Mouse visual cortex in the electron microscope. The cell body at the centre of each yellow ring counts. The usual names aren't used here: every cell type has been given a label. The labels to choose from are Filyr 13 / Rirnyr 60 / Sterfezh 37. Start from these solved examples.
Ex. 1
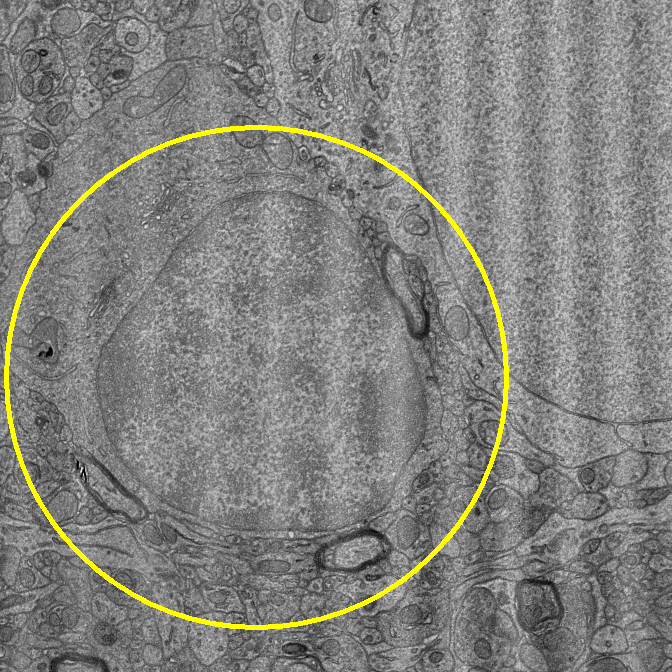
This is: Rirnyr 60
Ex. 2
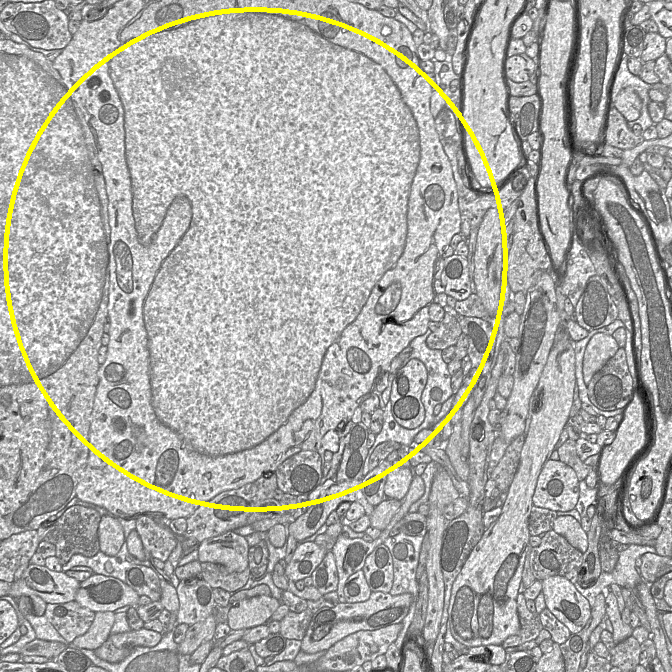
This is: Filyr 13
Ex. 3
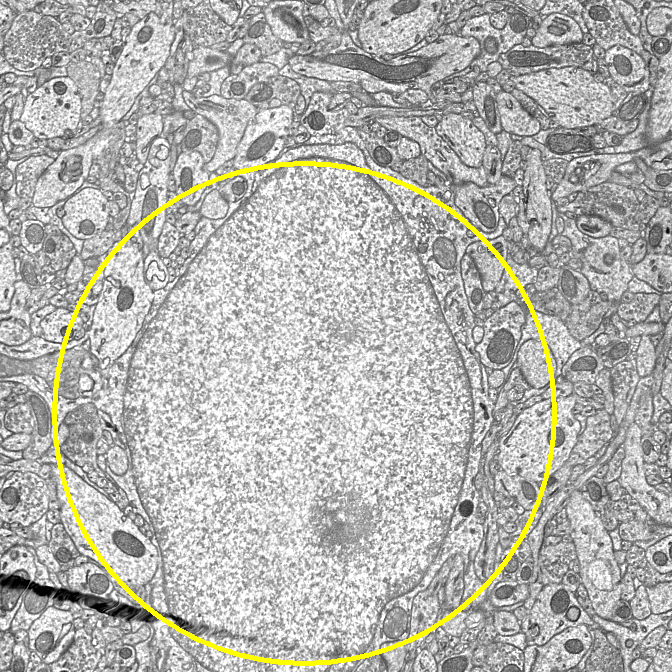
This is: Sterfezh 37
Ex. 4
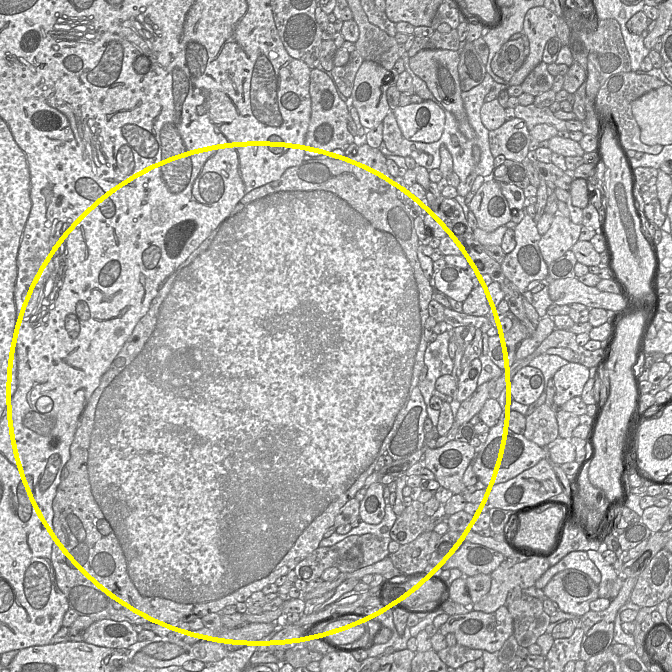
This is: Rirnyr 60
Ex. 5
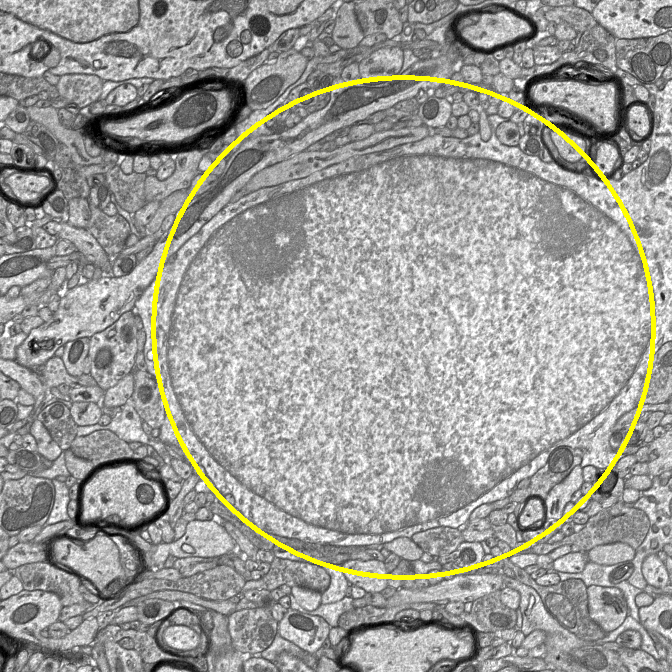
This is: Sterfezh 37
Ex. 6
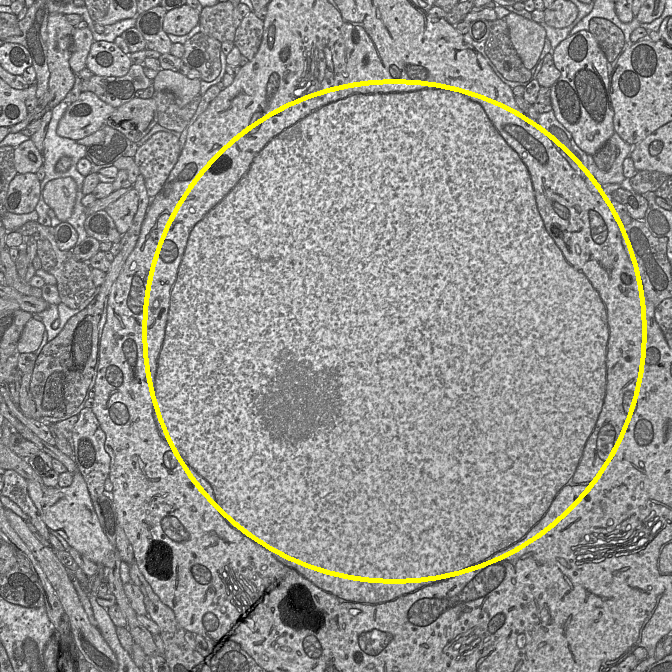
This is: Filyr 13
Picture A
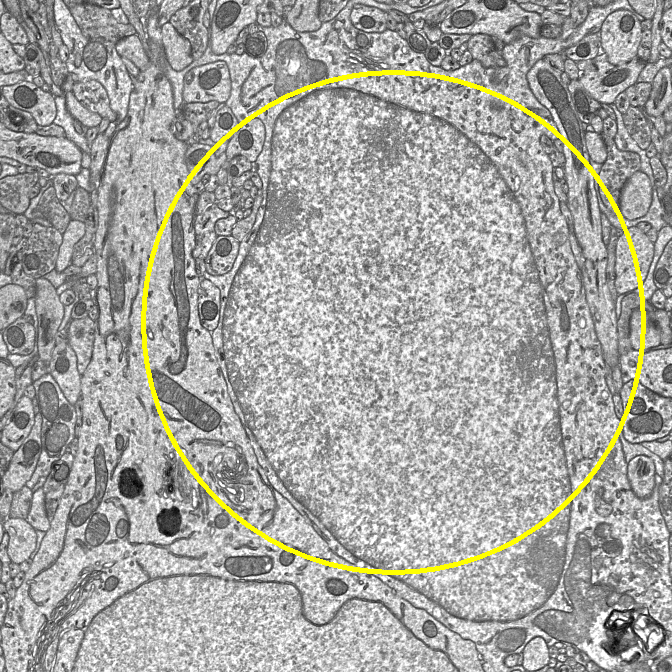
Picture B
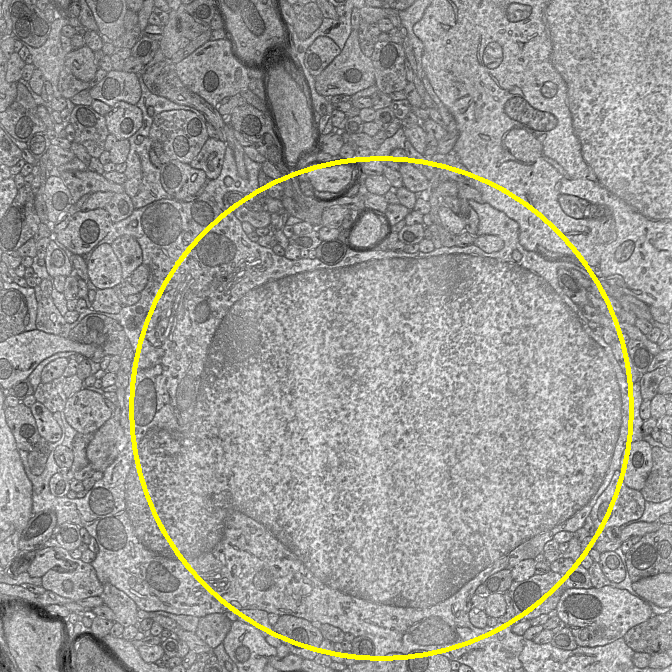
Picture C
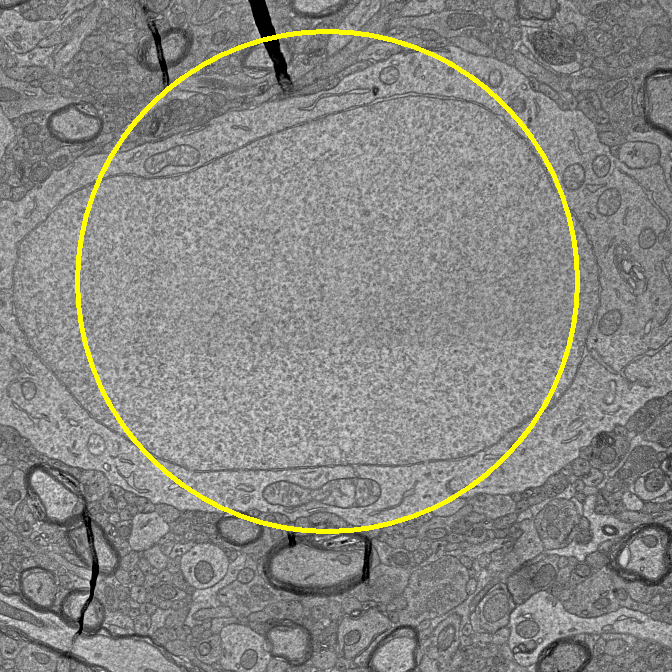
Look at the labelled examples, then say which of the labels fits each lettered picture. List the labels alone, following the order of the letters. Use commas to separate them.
Sterfezh 37, Sterfezh 37, Filyr 13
